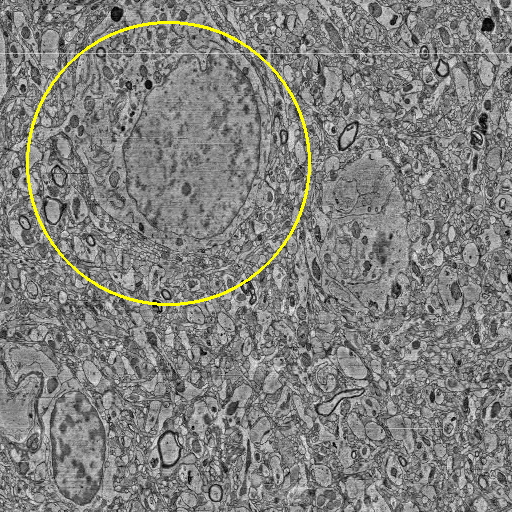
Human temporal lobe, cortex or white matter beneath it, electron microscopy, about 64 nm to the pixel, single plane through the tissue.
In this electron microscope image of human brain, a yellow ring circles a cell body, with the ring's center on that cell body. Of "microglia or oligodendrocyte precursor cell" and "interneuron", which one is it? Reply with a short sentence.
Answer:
It is an interneuron at the center of the ring.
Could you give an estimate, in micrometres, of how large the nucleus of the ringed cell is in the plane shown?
Roughly 13 micrometres by 9 micrometres, in this plane.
